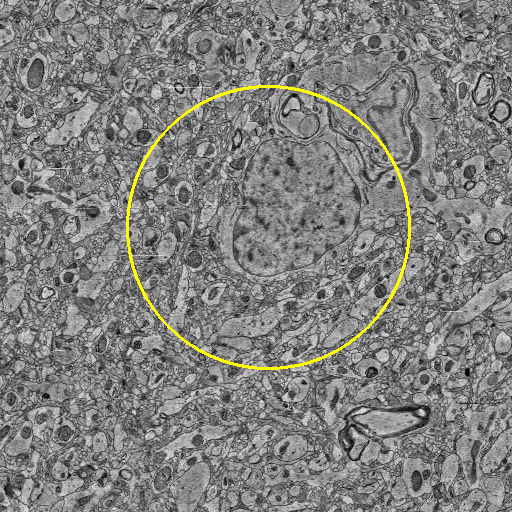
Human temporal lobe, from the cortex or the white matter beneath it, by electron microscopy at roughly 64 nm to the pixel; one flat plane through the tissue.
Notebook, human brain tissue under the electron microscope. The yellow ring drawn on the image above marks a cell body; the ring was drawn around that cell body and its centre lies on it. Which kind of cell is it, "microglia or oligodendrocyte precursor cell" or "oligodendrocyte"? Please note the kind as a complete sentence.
The marked cell body is that of a microglial cell or oligodendrocyte precursor cell.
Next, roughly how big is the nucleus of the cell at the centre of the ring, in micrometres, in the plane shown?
In this plane the nucleus spans approximately 10 by 8 micrometers.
